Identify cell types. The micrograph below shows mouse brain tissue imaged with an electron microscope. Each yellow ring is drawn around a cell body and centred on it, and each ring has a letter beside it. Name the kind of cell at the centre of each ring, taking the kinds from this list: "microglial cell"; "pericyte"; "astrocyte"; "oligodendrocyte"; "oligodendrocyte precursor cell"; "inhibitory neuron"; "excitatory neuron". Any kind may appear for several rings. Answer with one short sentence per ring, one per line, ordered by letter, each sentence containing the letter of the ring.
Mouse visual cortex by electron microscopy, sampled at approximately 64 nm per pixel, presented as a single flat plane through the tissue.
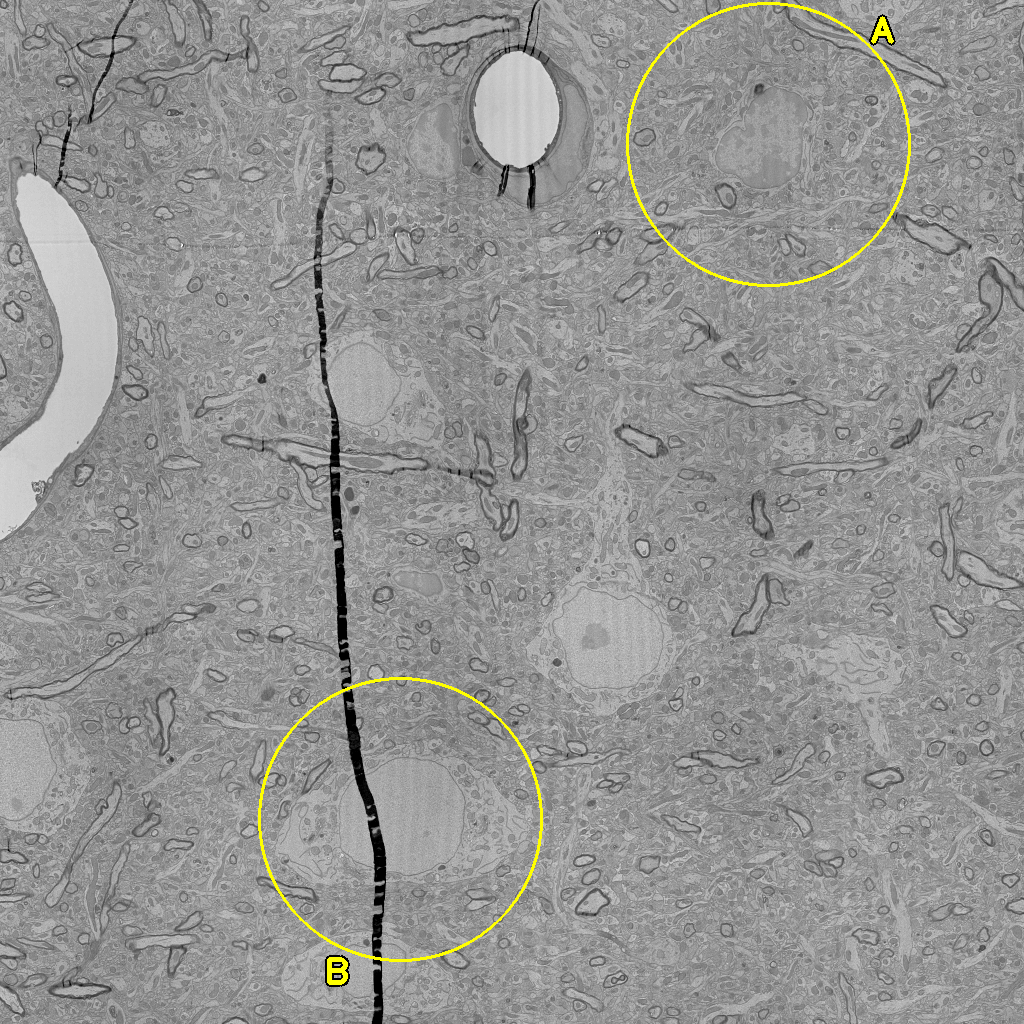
Ring A marks a microglial cell.
Ring B marks an excitatory neuron.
